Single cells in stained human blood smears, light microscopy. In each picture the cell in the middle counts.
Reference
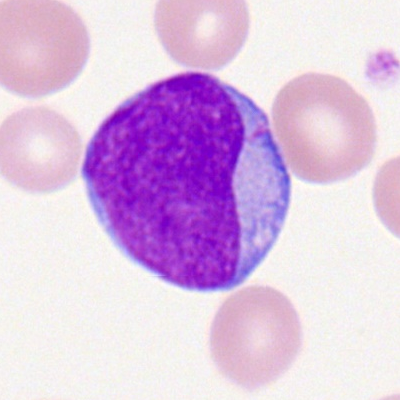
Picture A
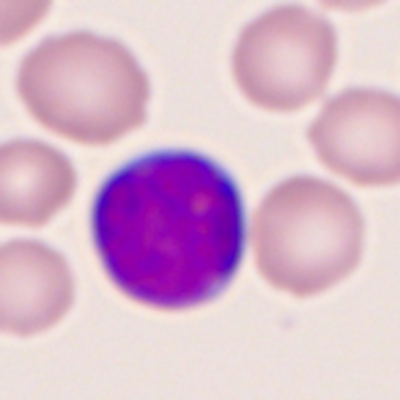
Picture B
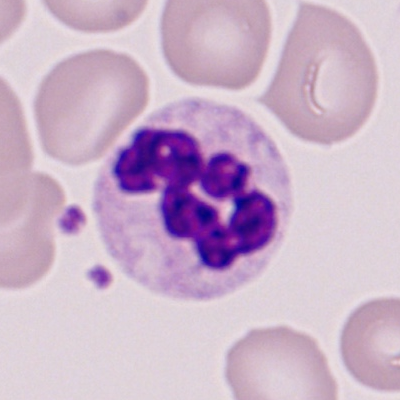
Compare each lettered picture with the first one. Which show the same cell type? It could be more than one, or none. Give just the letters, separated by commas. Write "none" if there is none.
A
